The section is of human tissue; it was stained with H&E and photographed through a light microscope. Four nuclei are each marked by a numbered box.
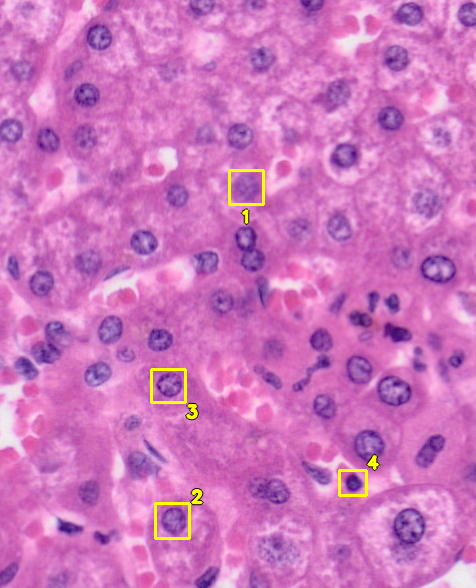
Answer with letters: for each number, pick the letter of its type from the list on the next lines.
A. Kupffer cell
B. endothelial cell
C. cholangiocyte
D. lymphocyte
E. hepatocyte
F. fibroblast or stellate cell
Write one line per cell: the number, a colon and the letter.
1: E
2: E
3: E
4: D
